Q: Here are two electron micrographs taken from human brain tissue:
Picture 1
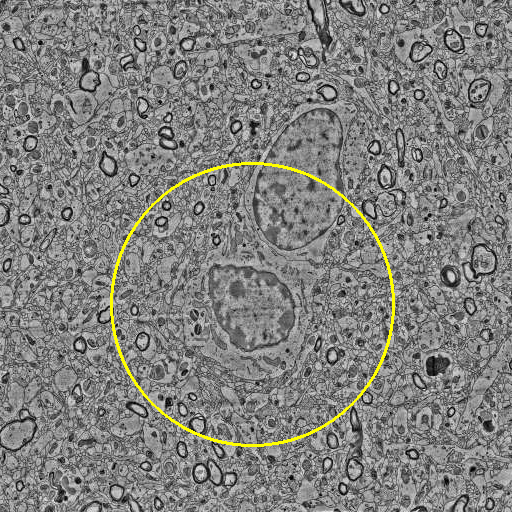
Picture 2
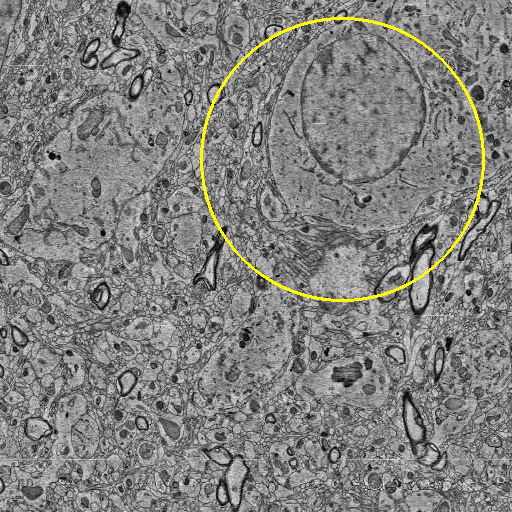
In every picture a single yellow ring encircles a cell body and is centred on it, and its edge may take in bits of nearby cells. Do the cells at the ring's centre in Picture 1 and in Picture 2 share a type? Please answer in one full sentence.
Yes, the cells at the ring's centre in Picture 1 and Picture 2 share a type.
